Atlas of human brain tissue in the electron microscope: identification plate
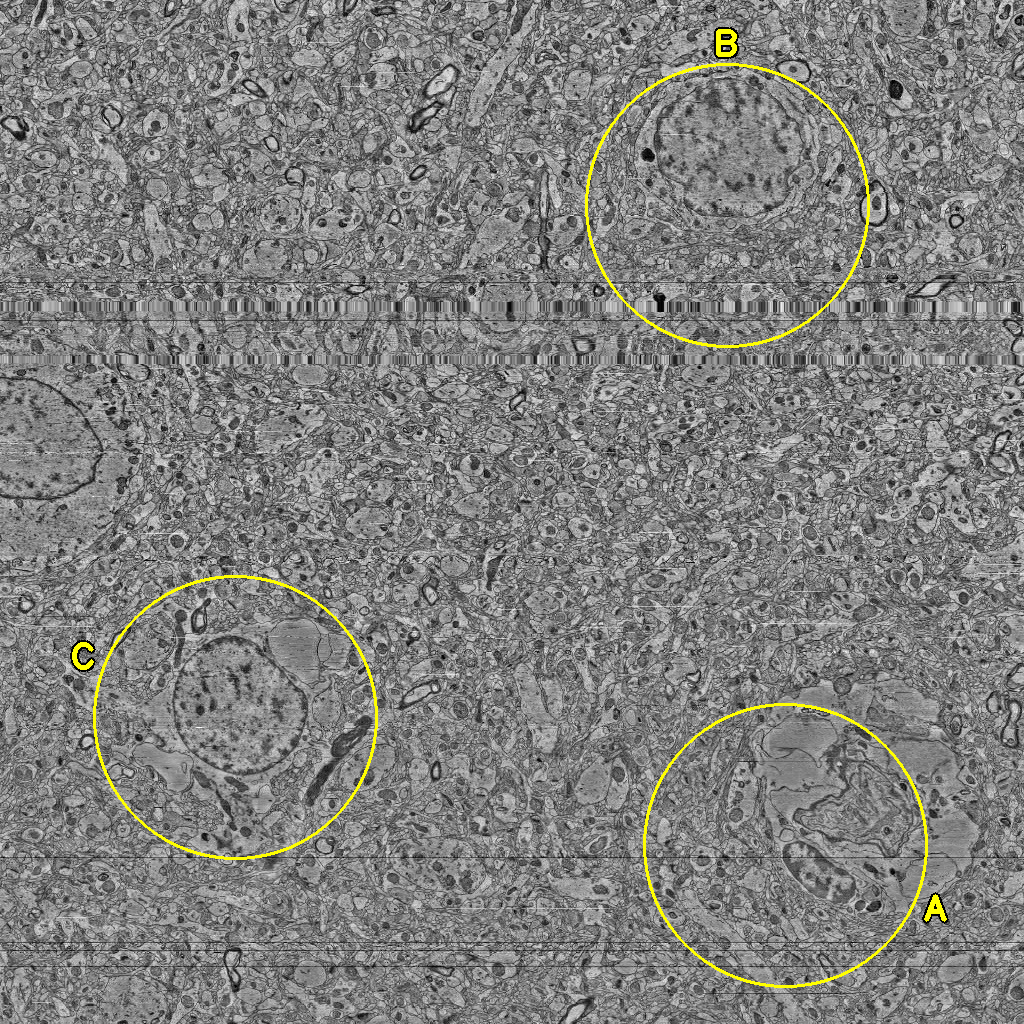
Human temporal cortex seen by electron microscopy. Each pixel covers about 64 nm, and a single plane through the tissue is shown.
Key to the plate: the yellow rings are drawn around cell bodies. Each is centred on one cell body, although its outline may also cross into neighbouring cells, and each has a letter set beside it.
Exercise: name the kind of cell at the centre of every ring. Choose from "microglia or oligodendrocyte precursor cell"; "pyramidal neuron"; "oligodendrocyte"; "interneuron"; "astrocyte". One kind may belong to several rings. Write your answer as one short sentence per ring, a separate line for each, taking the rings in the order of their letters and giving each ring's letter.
The centre of ring A is occupied by a microglial cell or oligodendrocyte precursor cell.
The centre of ring B is occupied by an interneuron.
The centre of ring C is occupied by an astrocyte.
